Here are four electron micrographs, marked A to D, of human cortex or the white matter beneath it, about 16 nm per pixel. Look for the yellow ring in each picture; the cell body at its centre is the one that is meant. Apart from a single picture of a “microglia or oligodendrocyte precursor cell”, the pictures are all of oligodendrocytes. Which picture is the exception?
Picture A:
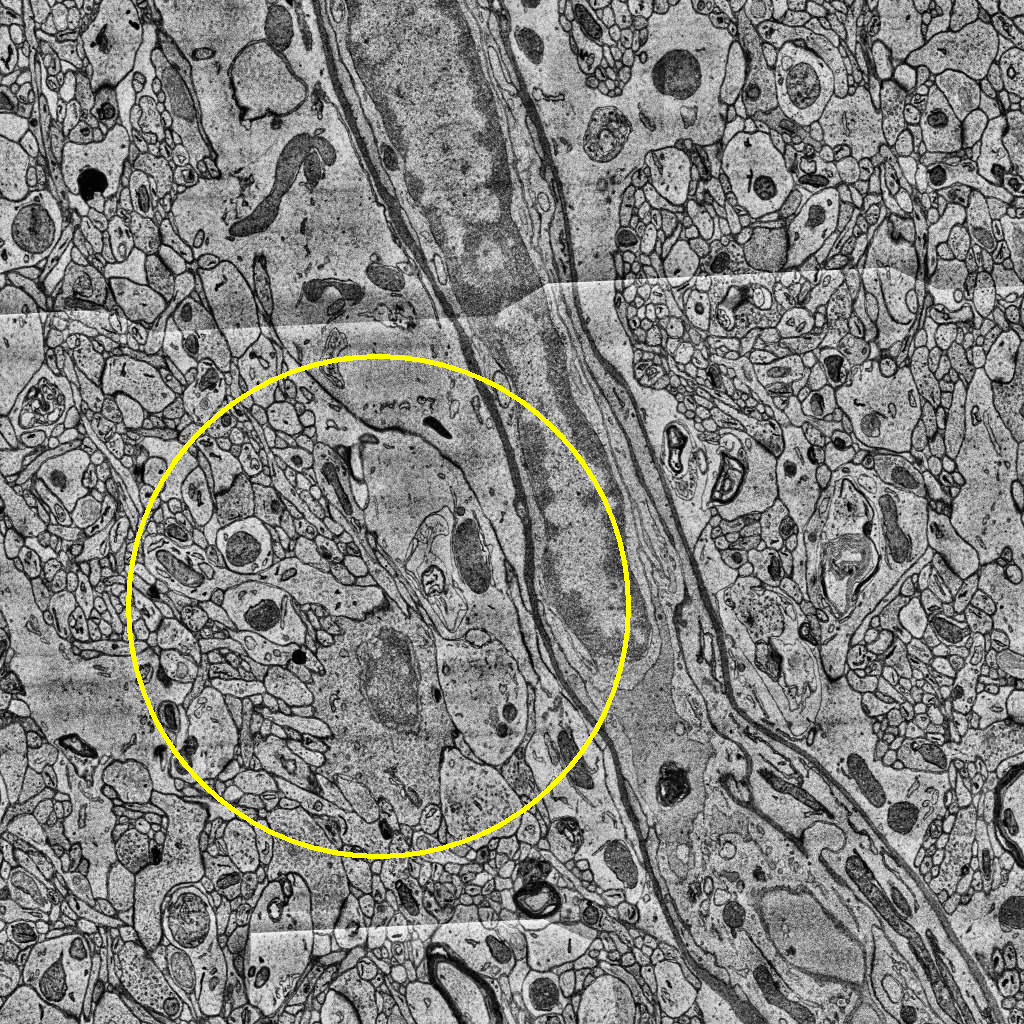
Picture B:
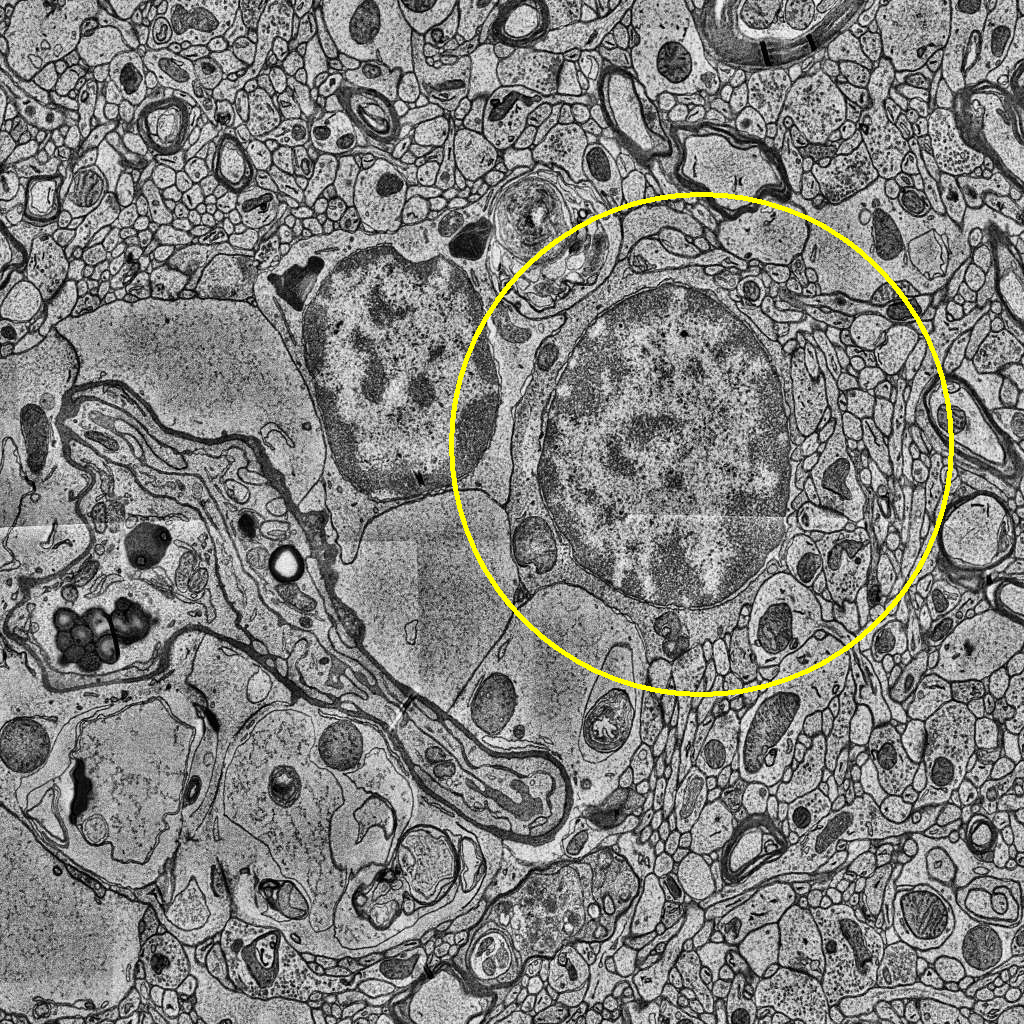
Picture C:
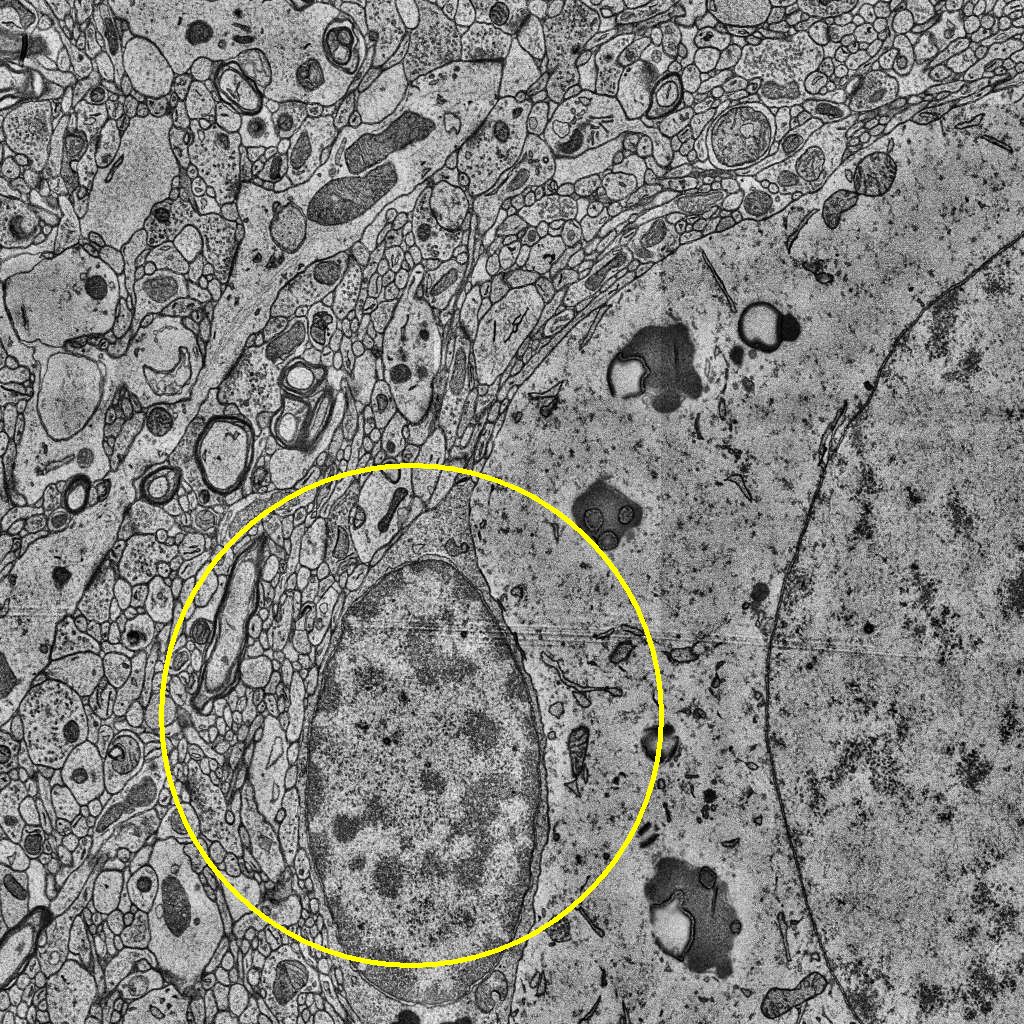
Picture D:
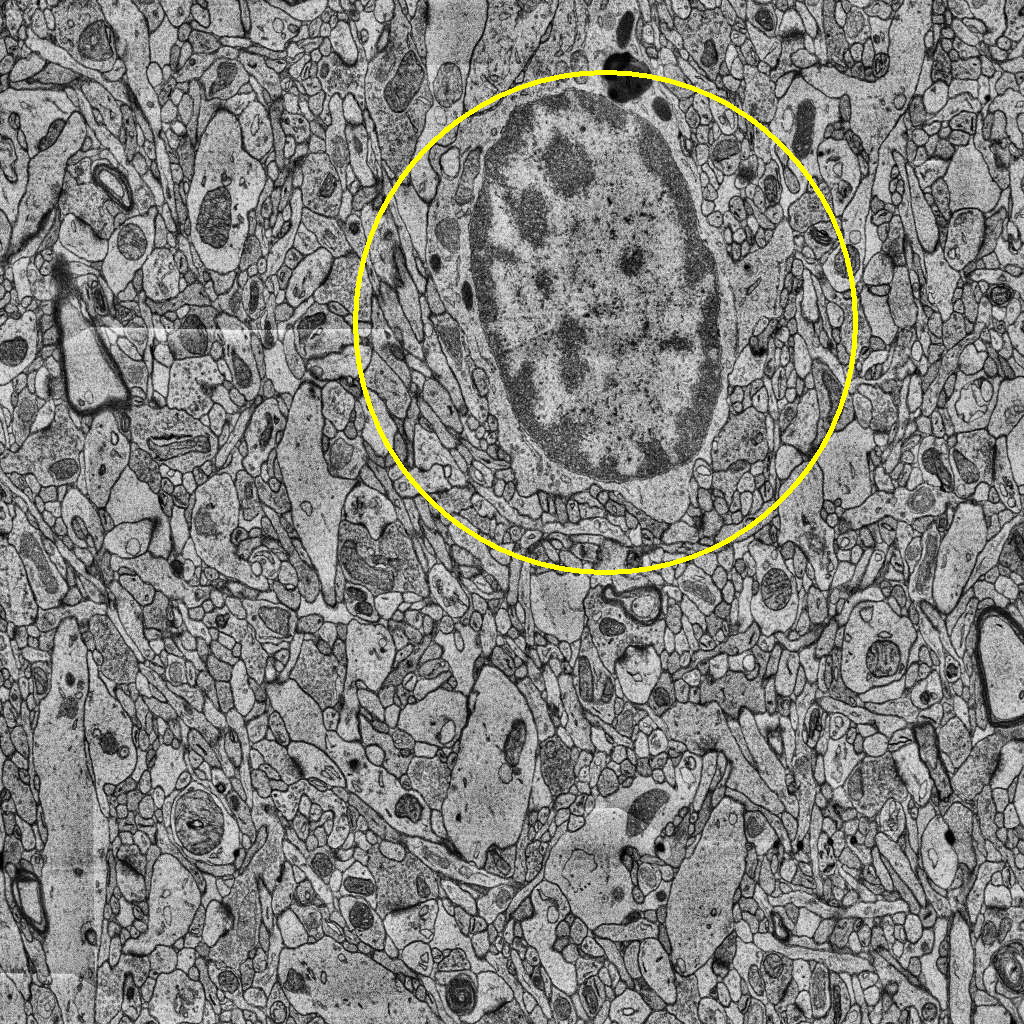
It is picture D that shows the “microglia or oligodendrocyte precursor cell”.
